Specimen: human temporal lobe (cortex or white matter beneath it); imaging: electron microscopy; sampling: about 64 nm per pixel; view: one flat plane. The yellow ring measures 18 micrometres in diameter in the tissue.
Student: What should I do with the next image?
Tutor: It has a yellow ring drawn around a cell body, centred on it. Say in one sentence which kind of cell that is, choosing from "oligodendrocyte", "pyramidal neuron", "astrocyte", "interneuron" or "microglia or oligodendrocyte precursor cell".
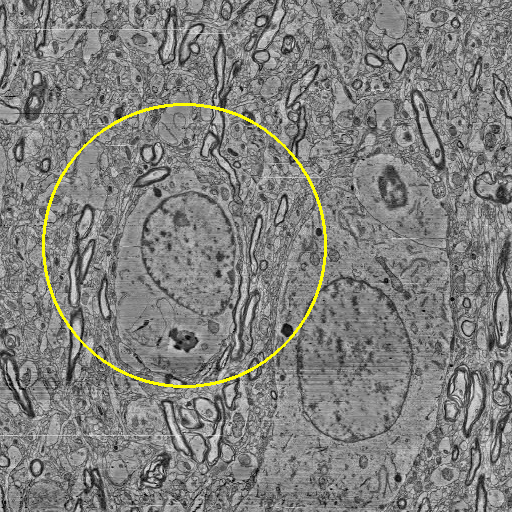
The ring's centre is occupied by an astrocyte.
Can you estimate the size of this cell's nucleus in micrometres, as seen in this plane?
About 8 by 6 micrometers for the nucleus, in this plane.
